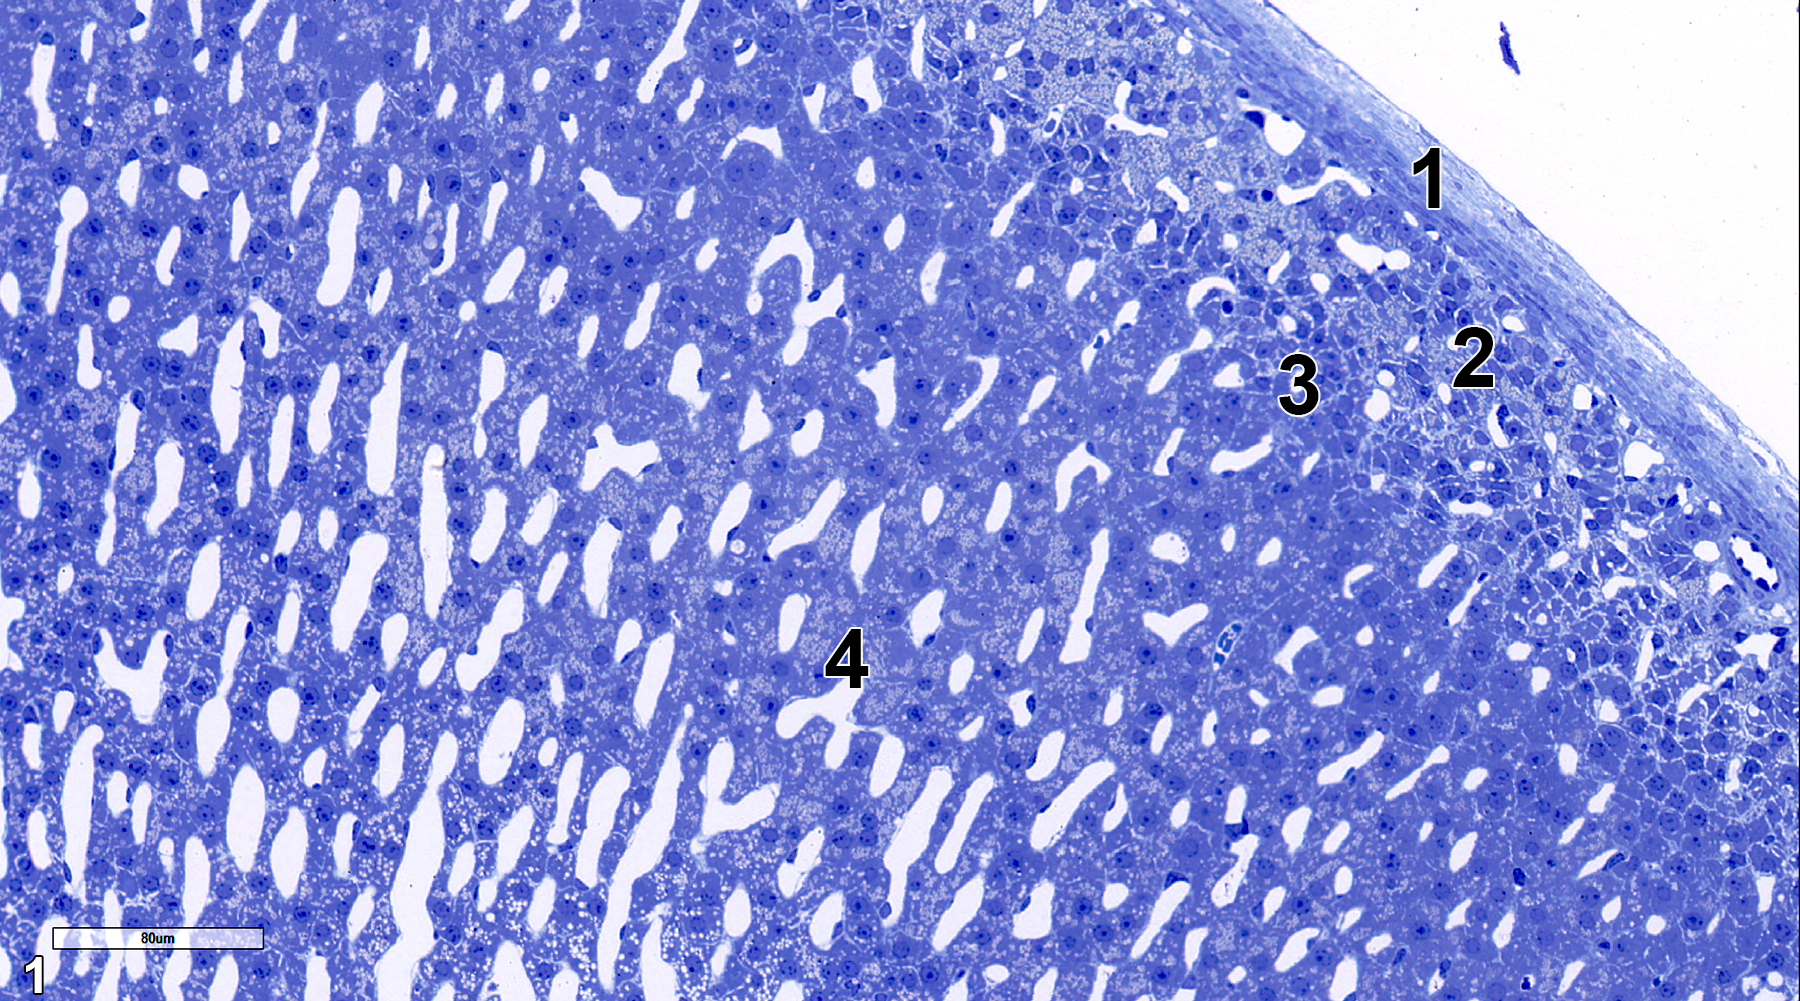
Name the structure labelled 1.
The number 1 marks the adrenal capsule.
